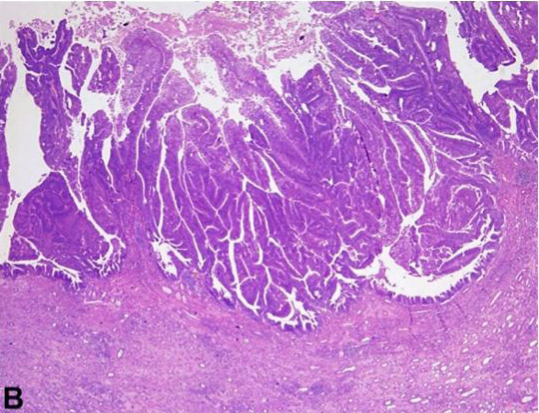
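A broad exophytic growth of crowded, deep purple epithelial fronds rises from a pink fibromuscular wall at the bottom of the field. The fronds are long, slender and tightly packed, branching and folding with slit-like spaces between them, and some fragmented material lies at the top surface. The base of the growth is pushing and rounded against the underlying pink stroma.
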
